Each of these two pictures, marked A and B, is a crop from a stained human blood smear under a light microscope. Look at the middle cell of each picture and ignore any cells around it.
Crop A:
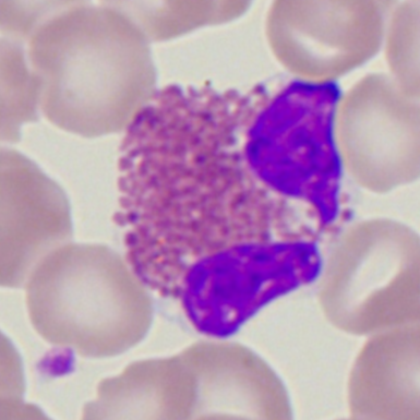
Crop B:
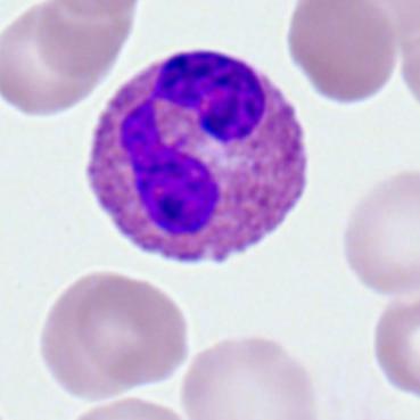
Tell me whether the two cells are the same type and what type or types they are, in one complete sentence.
Yes, the cells centred in the two crops are both eosinophils.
